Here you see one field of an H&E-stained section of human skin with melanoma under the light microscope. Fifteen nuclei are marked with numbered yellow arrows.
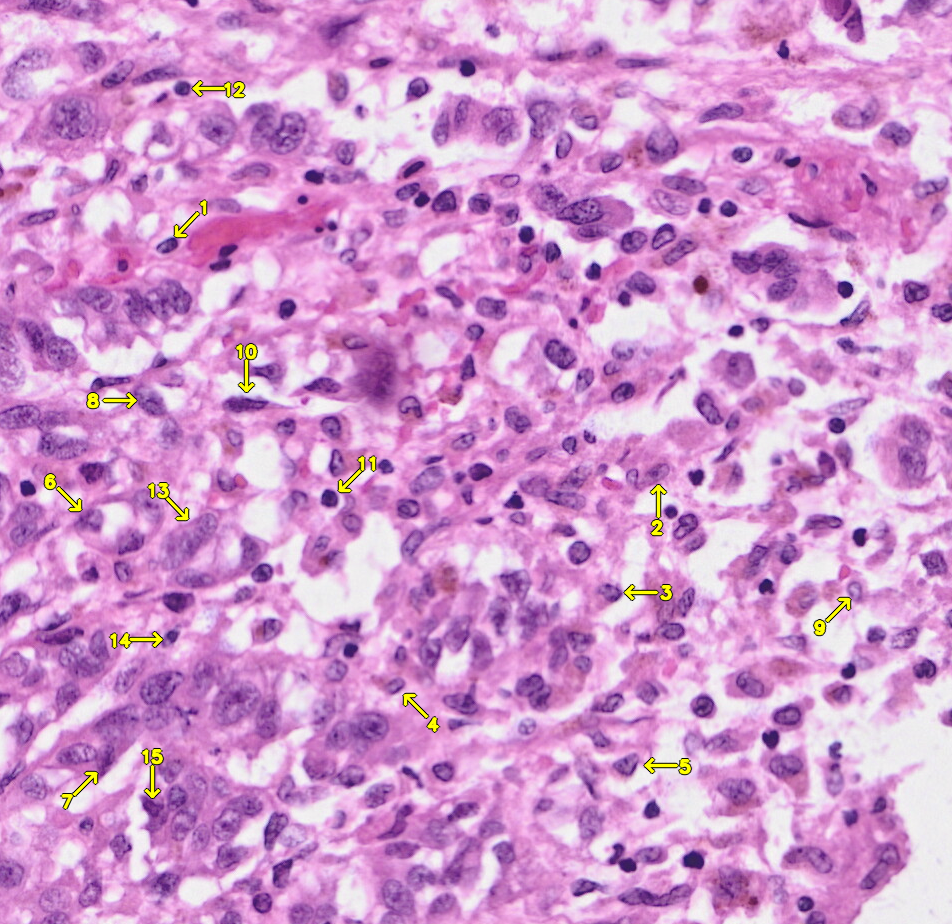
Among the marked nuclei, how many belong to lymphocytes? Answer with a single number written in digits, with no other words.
4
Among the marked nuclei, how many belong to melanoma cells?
6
